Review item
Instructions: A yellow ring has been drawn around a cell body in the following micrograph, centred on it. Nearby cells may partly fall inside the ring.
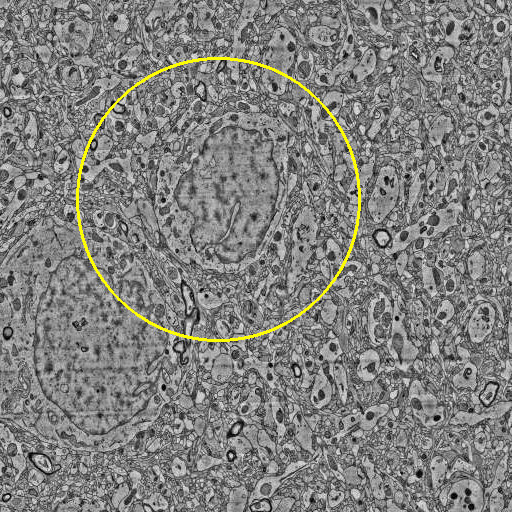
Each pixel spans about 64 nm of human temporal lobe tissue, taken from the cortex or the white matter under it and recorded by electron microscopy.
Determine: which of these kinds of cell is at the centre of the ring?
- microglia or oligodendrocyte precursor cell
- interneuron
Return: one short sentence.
The cell body in the middle of the ring is that of an interneuron.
